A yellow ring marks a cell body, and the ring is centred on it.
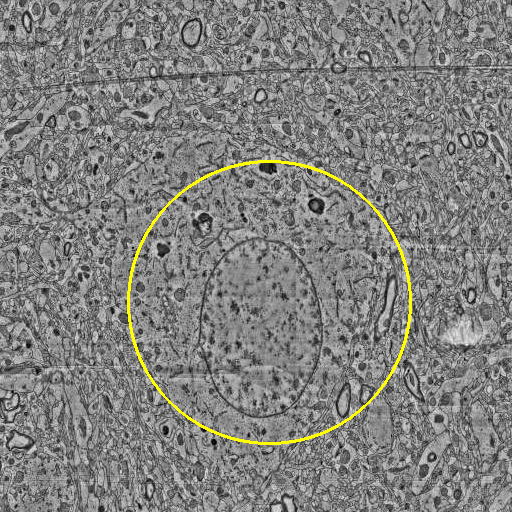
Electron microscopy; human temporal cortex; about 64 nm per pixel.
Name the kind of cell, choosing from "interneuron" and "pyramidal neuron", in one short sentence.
The marked cell body belongs to a pyramidal neuron.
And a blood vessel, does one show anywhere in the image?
No.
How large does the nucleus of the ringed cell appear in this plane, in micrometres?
About 11 micrometres by about 8 micrometres in this plane.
